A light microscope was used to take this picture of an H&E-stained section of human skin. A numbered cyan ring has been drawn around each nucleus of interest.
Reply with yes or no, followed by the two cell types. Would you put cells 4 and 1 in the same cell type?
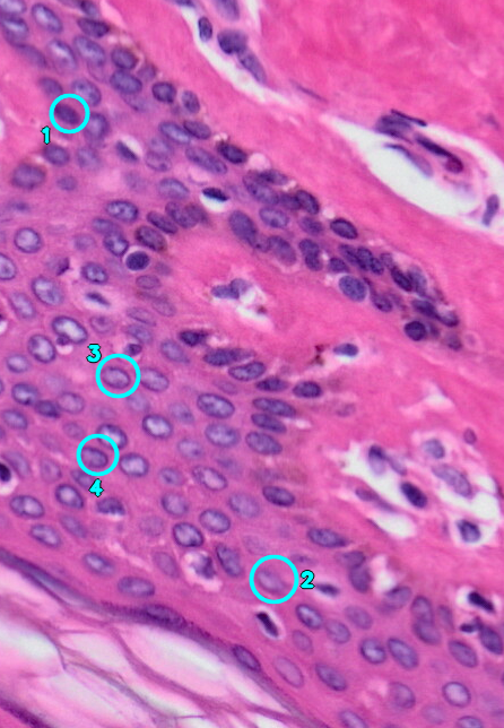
No: cell 4 is a suprabasal keratinocyte, while cell 1 is a basal keratinocyte.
